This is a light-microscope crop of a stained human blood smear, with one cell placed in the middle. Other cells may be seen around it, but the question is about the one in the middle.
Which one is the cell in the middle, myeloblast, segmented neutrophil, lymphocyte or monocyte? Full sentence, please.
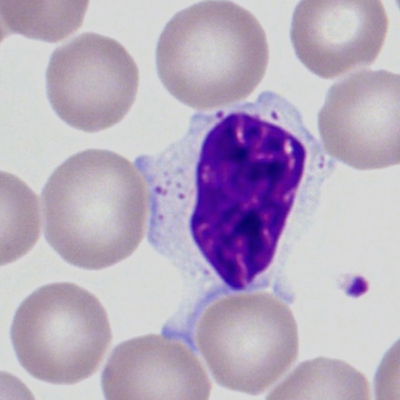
Centrally within this crop lies a lymphocyte.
